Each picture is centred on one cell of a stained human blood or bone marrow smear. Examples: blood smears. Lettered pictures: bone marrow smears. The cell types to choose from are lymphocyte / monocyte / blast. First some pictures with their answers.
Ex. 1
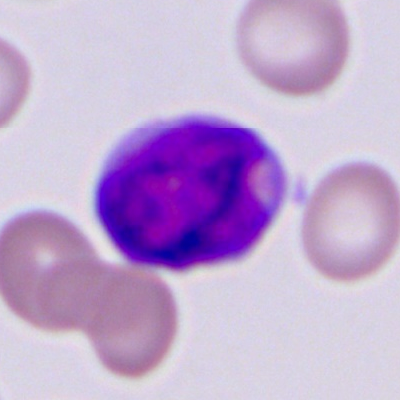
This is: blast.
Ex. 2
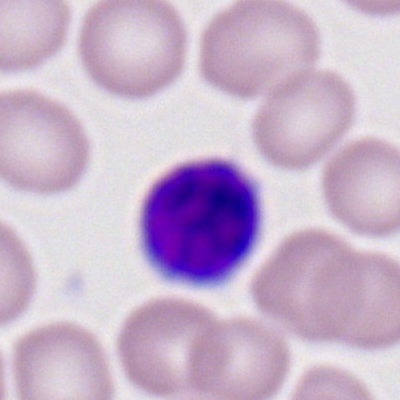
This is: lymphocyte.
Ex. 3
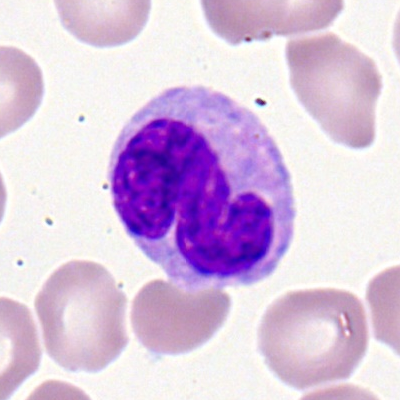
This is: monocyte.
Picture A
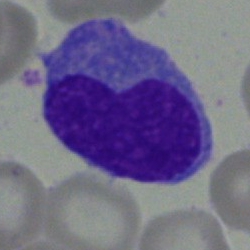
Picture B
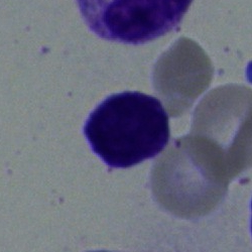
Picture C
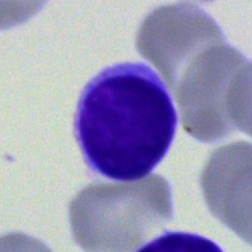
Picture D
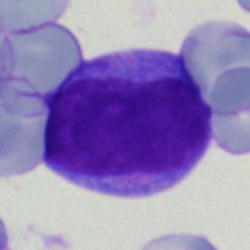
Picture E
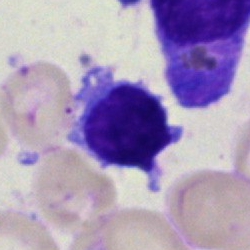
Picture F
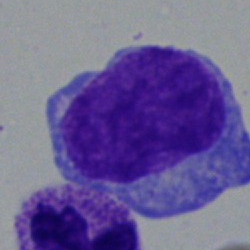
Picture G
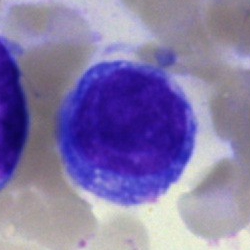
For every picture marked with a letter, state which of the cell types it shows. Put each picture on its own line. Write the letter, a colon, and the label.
A: monocyte.
B: lymphocyte.
C: lymphocyte.
D: blast.
E: lymphocyte.
F: blast.
G: blast.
